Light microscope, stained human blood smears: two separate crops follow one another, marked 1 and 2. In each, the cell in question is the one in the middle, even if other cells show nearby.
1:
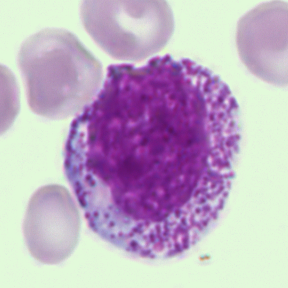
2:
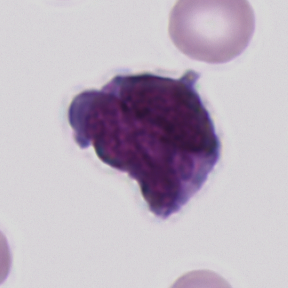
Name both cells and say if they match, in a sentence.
No, the cell that crop 1 shows is a myelocyte, and the one crop 2 shows is an atypical promyelocyte.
